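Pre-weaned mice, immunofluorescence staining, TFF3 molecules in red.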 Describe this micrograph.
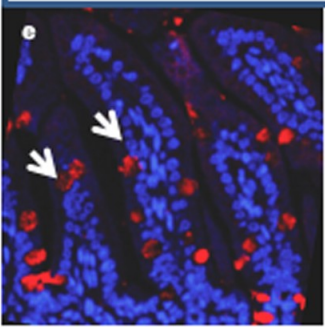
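This is intestinal-type mucosa with slender finger-like projections lined by a simple epithelium, in which scattered goblet cells stand out as red-filled cells. The epithelial nuclei form dense blue rows along each projection, with a looser core of blue nuclei in the centre. The goblet cells are rounded or oval, lie singly between the columnar epithelial cells and are filled with bright red granular content, some sitting near the surface of the lining and some deeper. The red cells are spaced irregularly rather than clustered.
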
